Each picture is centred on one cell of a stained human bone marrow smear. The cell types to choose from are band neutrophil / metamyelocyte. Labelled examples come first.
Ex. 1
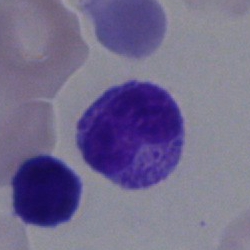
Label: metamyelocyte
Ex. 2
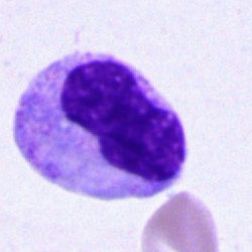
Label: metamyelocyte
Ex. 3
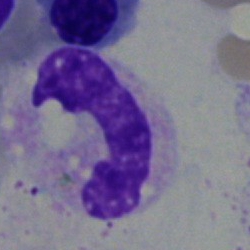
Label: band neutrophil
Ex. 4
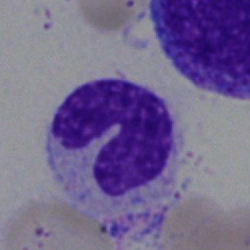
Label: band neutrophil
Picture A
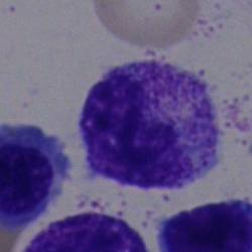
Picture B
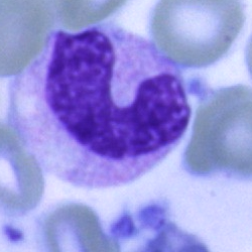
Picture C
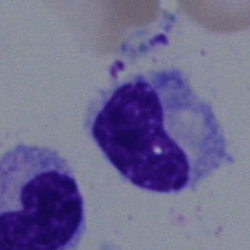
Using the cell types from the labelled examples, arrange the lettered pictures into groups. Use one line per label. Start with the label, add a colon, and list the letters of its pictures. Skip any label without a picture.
band neutrophil: B, C
metamyelocyte: A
